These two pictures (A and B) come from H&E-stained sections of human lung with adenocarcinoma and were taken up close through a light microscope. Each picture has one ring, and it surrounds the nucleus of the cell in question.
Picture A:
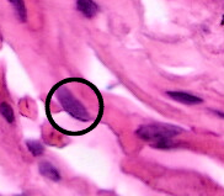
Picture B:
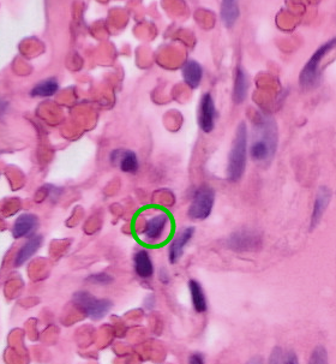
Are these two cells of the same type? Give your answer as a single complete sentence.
Yes, both are type I pneumocytes.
